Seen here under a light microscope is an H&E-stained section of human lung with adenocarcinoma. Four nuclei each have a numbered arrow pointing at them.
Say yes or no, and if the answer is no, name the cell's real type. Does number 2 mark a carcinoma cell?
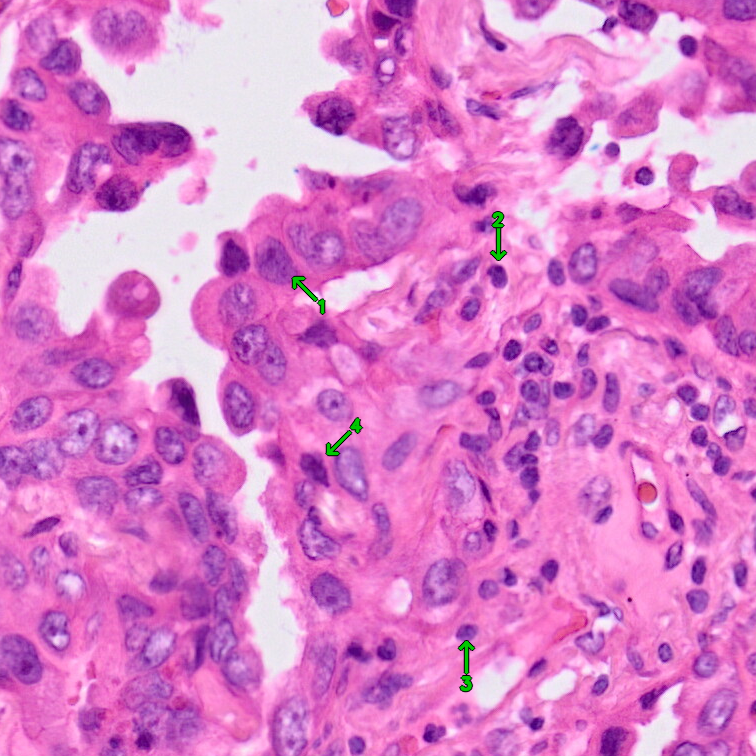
No, it is a lymphocyte.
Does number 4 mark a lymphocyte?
No, it is a carcinoma cell.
